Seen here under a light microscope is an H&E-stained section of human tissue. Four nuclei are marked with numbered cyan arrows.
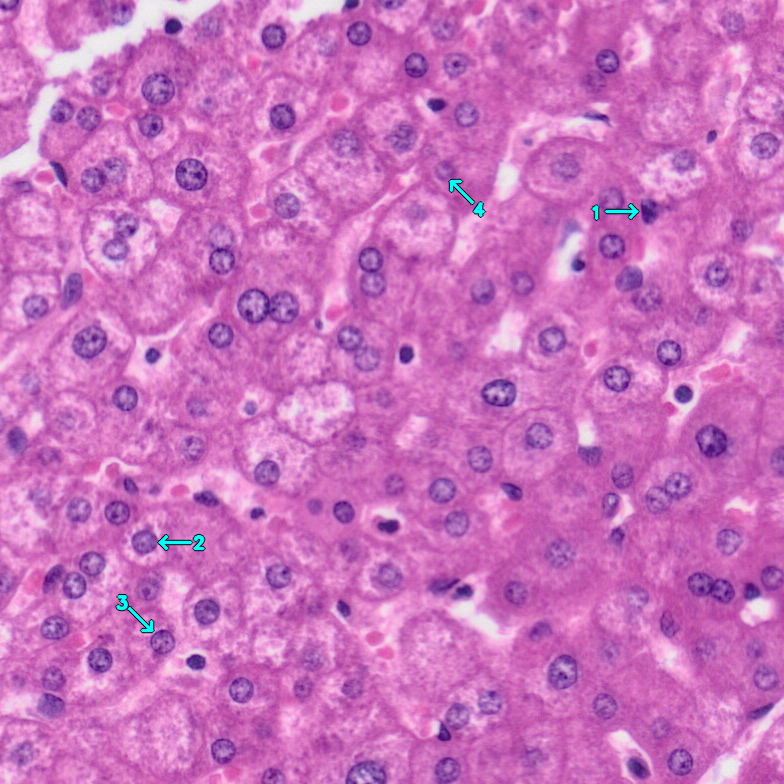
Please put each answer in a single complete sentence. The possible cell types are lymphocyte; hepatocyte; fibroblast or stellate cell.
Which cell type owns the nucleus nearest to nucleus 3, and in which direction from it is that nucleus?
The closest nucleus belongs to a lymphocyte and sits below and to the right of nucleus 3.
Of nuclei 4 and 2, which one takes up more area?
At about 1.5 times the area of nucleus 4, nucleus 2 is the larger of the two.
